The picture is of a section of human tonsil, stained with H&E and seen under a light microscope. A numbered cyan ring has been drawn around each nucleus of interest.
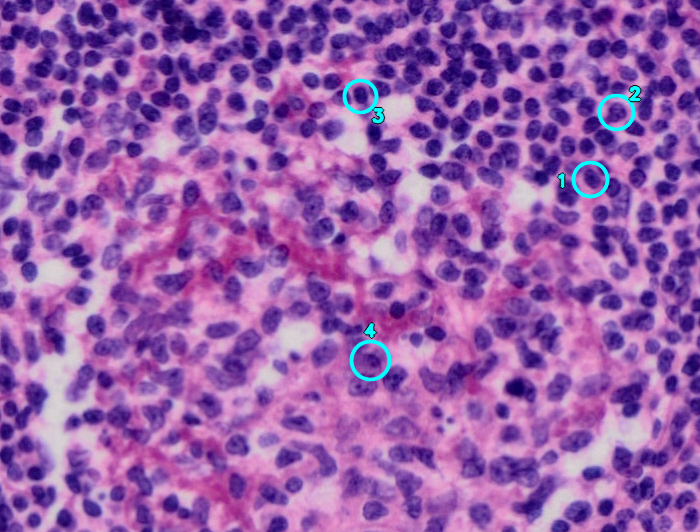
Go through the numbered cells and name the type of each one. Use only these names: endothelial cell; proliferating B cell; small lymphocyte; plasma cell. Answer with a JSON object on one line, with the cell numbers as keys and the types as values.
{"1": "small lymphocyte", "2": "small lymphocyte", "3": "small lymphocyte", "4": "proliferating B cell"}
